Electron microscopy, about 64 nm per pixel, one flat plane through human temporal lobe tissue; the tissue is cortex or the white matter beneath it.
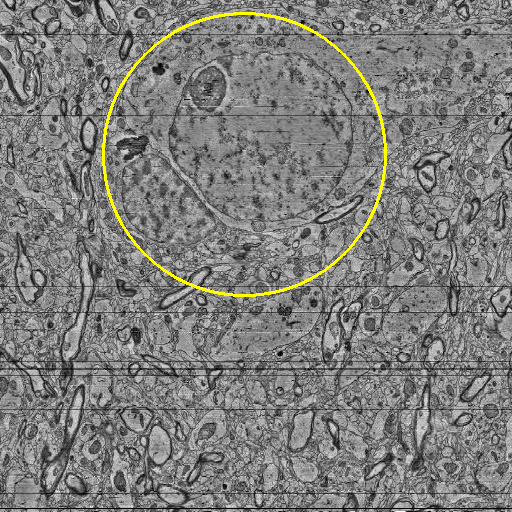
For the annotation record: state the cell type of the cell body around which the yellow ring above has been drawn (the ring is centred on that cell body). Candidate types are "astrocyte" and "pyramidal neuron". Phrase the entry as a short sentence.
The ringed cell is a pyramidal neuron.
